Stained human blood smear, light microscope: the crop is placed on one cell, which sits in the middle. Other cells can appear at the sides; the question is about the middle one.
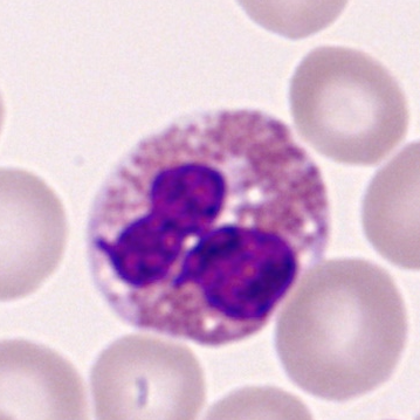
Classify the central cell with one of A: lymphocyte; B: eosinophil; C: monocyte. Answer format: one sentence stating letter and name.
The cell at the heart of the crop is an eosinophil, so choose option B.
